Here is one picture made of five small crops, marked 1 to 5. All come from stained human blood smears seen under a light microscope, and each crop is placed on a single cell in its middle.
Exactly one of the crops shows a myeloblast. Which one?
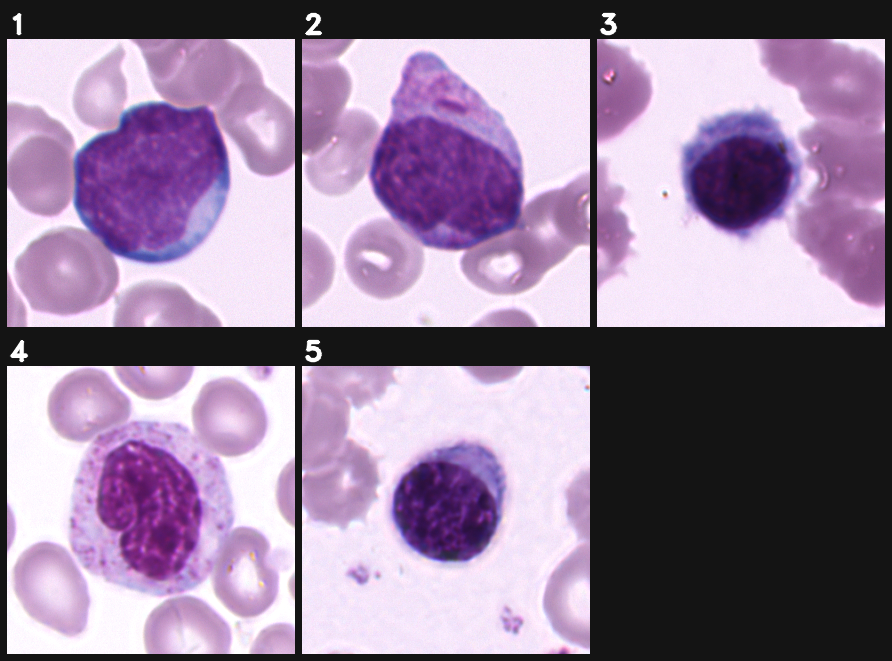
1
